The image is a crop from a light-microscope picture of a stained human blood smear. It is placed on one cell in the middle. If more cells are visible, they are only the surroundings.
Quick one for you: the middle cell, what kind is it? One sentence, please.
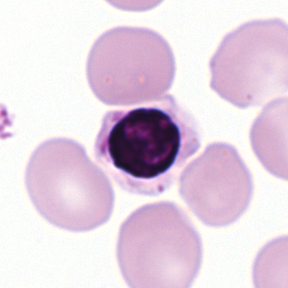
The cell under consideration, at the middle of the crop, is an erythroblast.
